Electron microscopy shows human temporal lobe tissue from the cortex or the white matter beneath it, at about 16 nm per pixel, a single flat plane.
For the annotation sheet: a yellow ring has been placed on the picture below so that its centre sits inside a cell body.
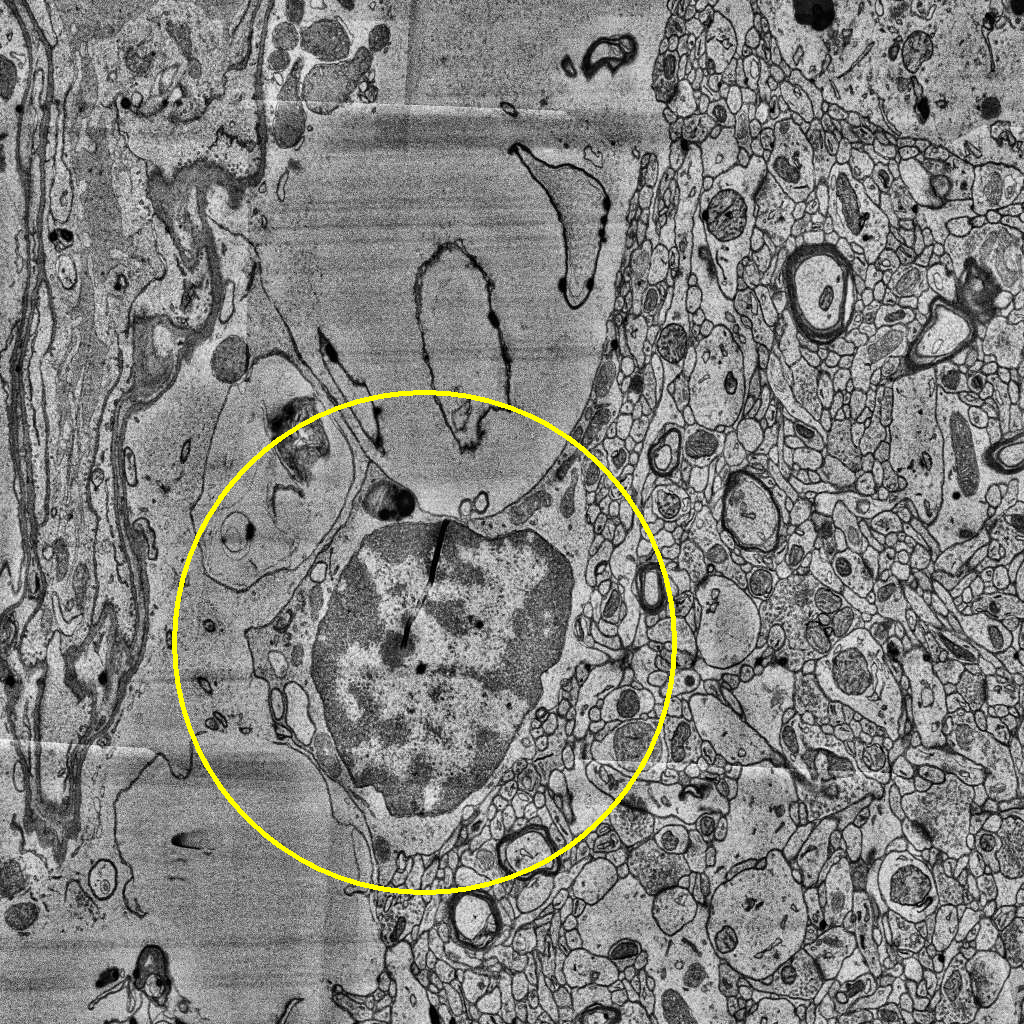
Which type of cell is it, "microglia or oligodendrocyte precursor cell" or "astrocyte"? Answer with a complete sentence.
The cell at the ring's centre is a microglial cell or oligodendrocyte precursor cell.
